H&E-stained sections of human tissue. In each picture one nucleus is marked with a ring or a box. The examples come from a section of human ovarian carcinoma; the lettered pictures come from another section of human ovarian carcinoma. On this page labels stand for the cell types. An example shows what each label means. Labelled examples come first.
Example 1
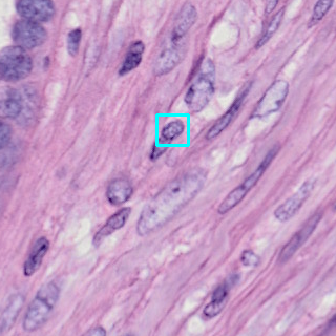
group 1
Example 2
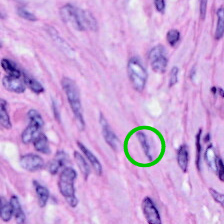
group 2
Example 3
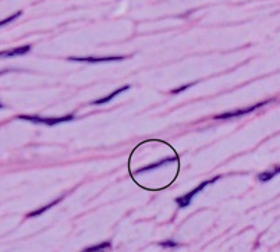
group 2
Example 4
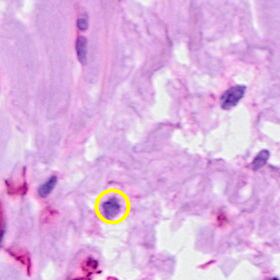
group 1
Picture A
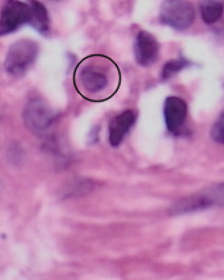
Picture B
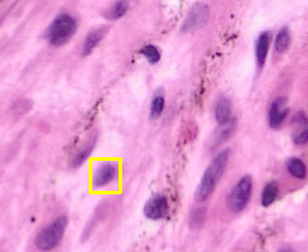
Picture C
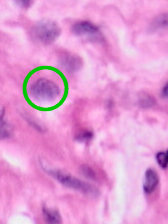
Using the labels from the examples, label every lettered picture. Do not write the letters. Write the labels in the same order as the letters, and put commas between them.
group 1, group 2, group 2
